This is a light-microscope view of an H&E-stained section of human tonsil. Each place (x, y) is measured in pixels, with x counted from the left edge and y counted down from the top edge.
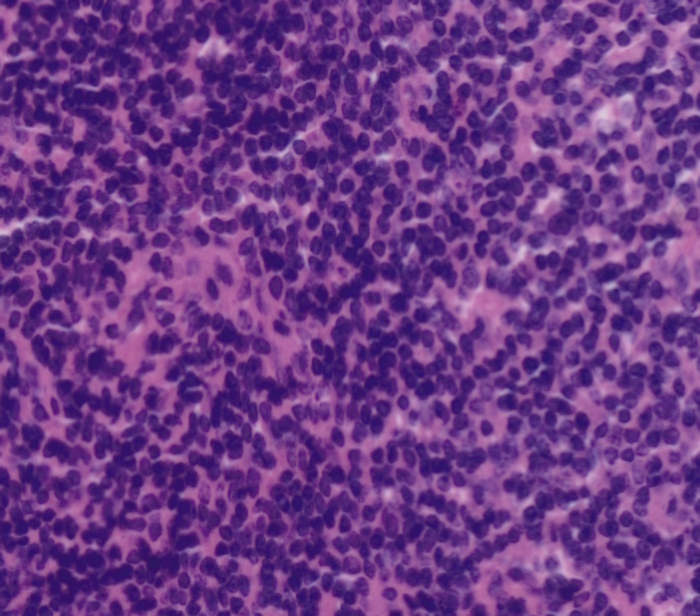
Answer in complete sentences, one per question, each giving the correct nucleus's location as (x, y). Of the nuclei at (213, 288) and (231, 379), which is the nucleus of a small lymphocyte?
Of the two, the nucleus at (231, 379) is the one contained in a small lymphocyte.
